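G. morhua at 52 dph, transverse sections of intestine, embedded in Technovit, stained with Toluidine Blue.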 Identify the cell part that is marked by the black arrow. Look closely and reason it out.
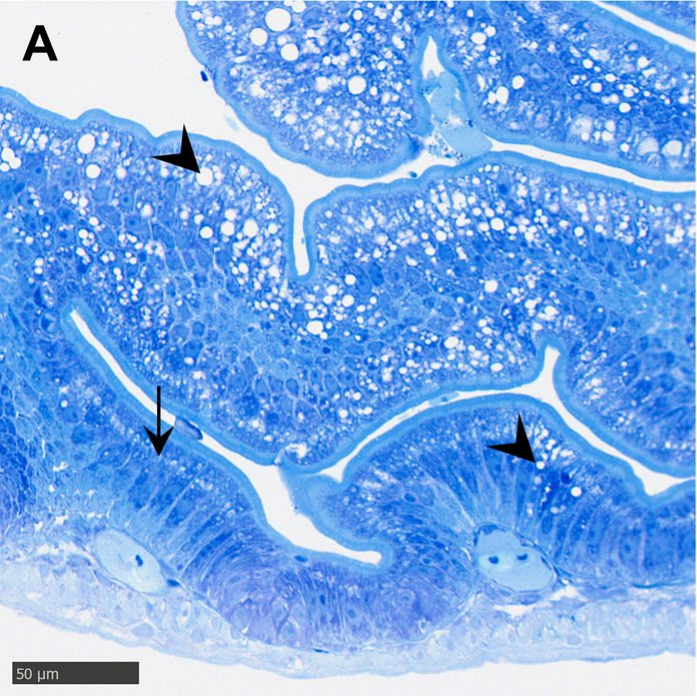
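The arrow points into the epithelium above the row of nuclei. This region holds many fine pale dots, smaller than the large clear vacuoles.
Answer: small supranuclear vesicles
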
